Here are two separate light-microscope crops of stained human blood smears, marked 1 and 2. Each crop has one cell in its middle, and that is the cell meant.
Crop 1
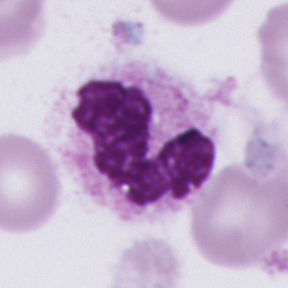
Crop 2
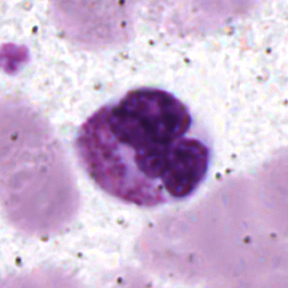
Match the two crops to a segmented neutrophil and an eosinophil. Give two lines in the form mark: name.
1: segmented neutrophil
2: eosinophil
